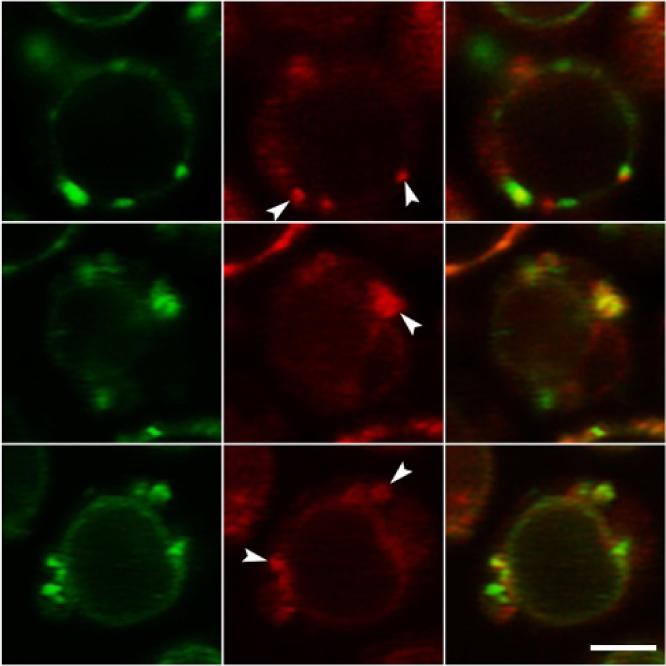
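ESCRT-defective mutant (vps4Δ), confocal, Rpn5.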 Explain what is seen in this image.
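These are yeast cells, each filled largely by one big round vacuole whose membrane shows as a thin green ring. Along this ring sit several bright green clumps, pressed against the outside of the vacuole rather than inside it. The red channel shows a faint haze through the cytoplasm and around the vacuole rim, with a few bright red dots at its edge. Where these bright red dots lie over the green clumps the merge turns yellow, so the red collects at the same clumps.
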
